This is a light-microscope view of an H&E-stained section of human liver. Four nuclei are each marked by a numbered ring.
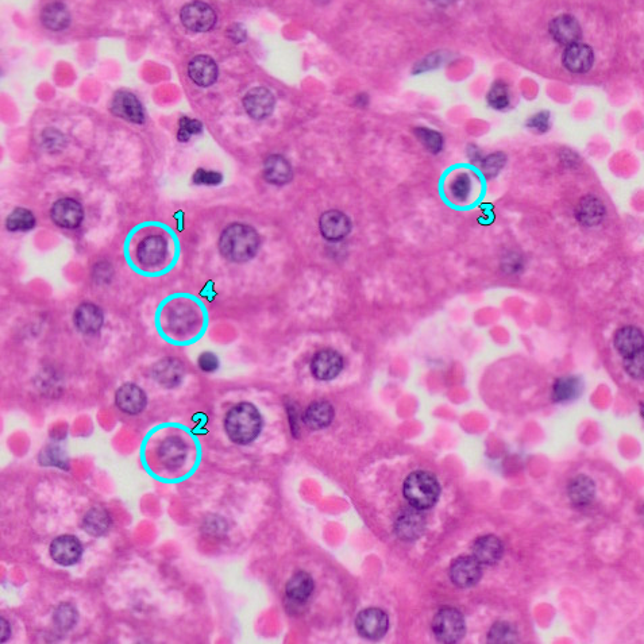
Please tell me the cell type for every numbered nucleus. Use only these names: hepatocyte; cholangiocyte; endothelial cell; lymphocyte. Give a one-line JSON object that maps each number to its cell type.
{"1": "hepatocyte", "2": "hepatocyte", "3": "lymphocyte", "4": "hepatocyte"}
